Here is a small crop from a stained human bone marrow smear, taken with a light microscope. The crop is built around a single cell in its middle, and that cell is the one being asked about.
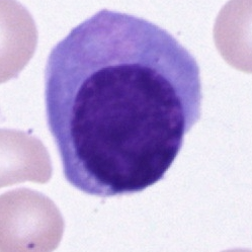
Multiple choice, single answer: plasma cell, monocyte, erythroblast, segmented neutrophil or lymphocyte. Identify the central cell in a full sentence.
Here the cell in the middle is a plasma cell.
